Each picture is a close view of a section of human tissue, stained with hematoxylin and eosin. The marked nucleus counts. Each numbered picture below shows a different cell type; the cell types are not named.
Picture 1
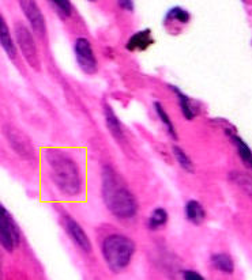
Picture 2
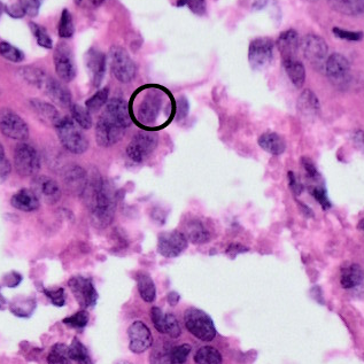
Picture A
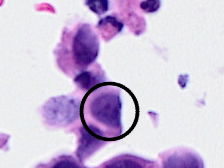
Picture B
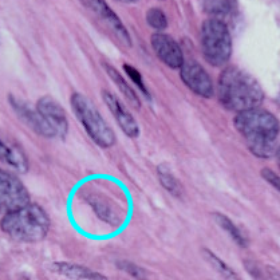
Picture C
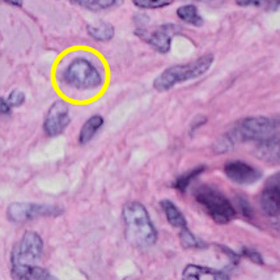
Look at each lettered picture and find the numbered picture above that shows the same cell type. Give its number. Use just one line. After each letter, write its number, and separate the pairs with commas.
A 2, B 1, C 1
